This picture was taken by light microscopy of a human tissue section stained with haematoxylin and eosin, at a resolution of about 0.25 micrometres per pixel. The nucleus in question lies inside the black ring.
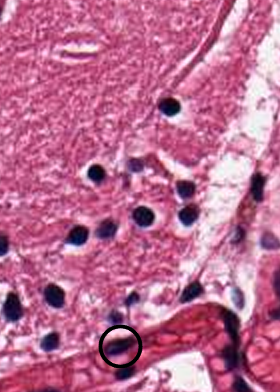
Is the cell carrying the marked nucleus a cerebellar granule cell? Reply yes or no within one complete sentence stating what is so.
No, the marked nucleus is the nucleus of a supporting cell rather than of a cerebellar granule cell.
